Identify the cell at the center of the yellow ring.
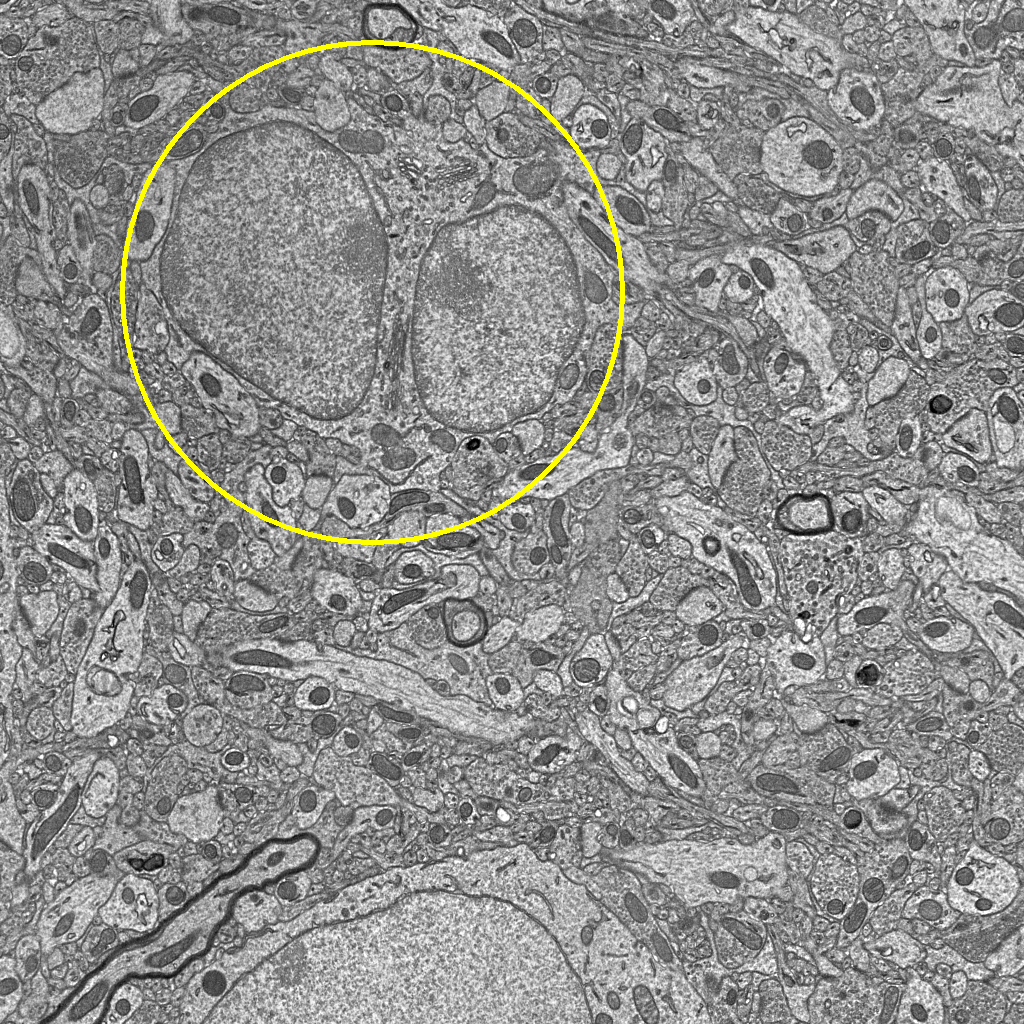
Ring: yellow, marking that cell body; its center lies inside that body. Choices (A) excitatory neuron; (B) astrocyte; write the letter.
B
